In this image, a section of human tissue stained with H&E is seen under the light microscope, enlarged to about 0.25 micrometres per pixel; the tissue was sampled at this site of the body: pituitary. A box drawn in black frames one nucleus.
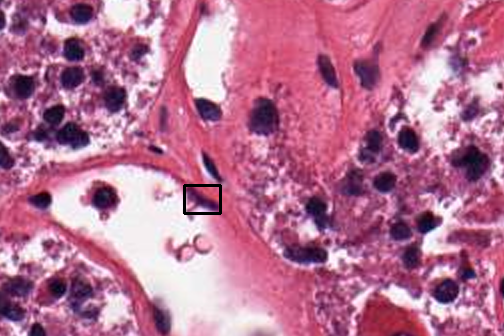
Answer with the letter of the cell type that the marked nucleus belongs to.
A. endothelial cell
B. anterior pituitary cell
A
